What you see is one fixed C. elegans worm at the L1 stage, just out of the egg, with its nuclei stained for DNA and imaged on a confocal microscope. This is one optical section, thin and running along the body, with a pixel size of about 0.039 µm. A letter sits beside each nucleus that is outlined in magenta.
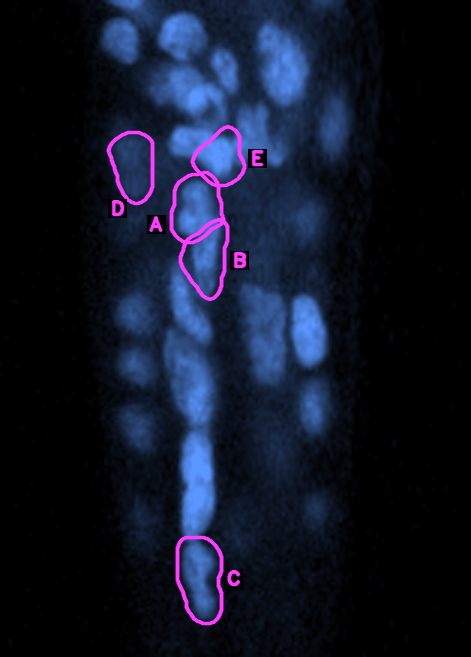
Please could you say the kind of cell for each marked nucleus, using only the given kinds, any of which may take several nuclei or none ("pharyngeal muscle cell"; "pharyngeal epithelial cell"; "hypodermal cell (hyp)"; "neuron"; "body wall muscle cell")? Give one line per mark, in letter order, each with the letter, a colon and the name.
A: neuron
B: pharyngeal muscle cell
C: pharyngeal epithelial cell
D: body wall muscle cell
E: pharyngeal muscle cell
